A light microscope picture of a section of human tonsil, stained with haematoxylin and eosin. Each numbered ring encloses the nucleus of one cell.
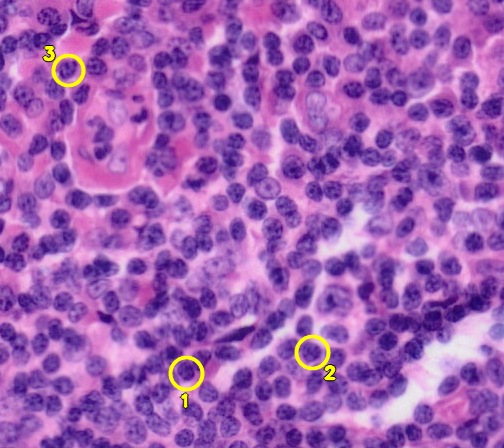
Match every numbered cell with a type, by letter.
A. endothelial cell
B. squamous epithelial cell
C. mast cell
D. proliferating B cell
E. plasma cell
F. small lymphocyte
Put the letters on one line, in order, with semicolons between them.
F; F; E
